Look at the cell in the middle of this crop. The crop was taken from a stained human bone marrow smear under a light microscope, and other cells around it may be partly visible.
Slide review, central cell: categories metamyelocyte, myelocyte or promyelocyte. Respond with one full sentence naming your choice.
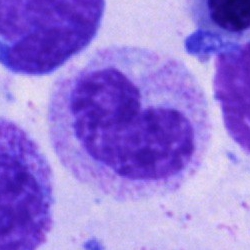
The central cell shown in this smear crop is a metamyelocyte.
